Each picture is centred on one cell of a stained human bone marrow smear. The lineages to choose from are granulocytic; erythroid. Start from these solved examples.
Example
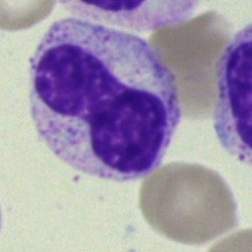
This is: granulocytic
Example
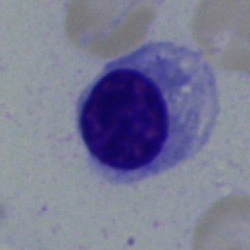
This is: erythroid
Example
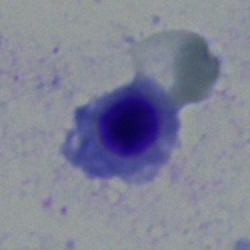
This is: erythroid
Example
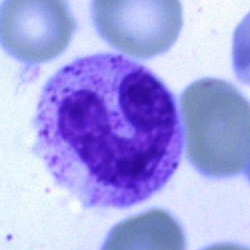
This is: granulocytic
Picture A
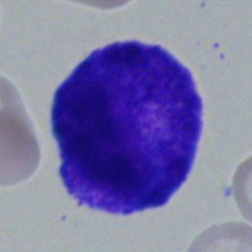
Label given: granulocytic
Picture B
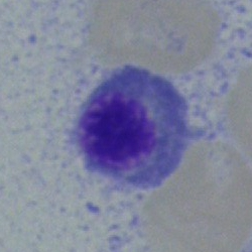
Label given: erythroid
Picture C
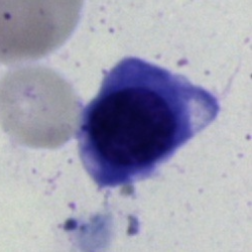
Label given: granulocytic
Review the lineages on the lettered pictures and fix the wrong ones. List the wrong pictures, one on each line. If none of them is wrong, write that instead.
C: change granulocytic to erythroid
